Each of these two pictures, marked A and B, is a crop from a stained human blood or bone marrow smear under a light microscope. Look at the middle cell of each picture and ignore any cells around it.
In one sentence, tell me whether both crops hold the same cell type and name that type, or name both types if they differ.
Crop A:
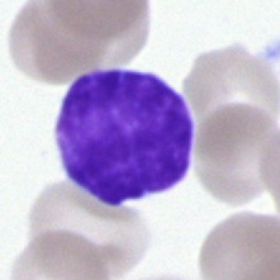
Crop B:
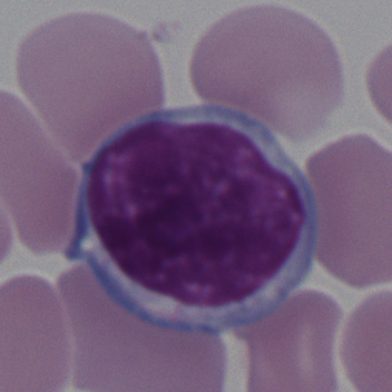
Yes, both crops show lymphocytes, one in each.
